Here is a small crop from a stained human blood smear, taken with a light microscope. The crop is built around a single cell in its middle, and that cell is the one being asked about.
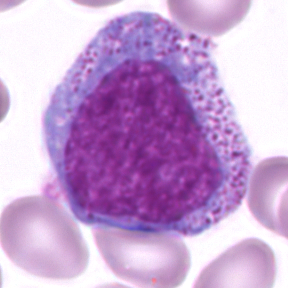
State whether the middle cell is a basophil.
no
